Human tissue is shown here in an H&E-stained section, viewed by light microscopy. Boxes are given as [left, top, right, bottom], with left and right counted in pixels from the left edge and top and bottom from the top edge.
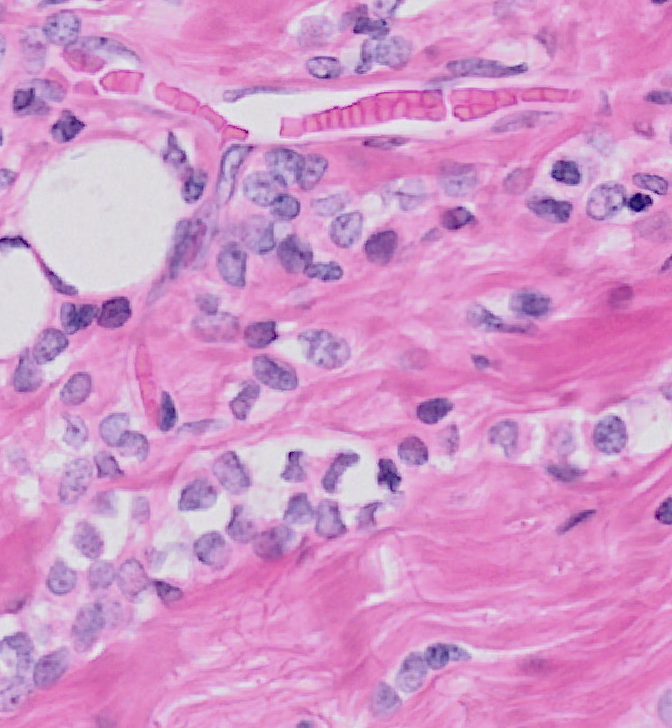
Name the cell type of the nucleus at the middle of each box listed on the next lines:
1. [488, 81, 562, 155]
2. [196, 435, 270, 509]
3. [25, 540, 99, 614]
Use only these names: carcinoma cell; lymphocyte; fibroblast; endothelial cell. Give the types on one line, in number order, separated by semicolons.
endothelial cell; carcinoma cell; carcinoma cell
